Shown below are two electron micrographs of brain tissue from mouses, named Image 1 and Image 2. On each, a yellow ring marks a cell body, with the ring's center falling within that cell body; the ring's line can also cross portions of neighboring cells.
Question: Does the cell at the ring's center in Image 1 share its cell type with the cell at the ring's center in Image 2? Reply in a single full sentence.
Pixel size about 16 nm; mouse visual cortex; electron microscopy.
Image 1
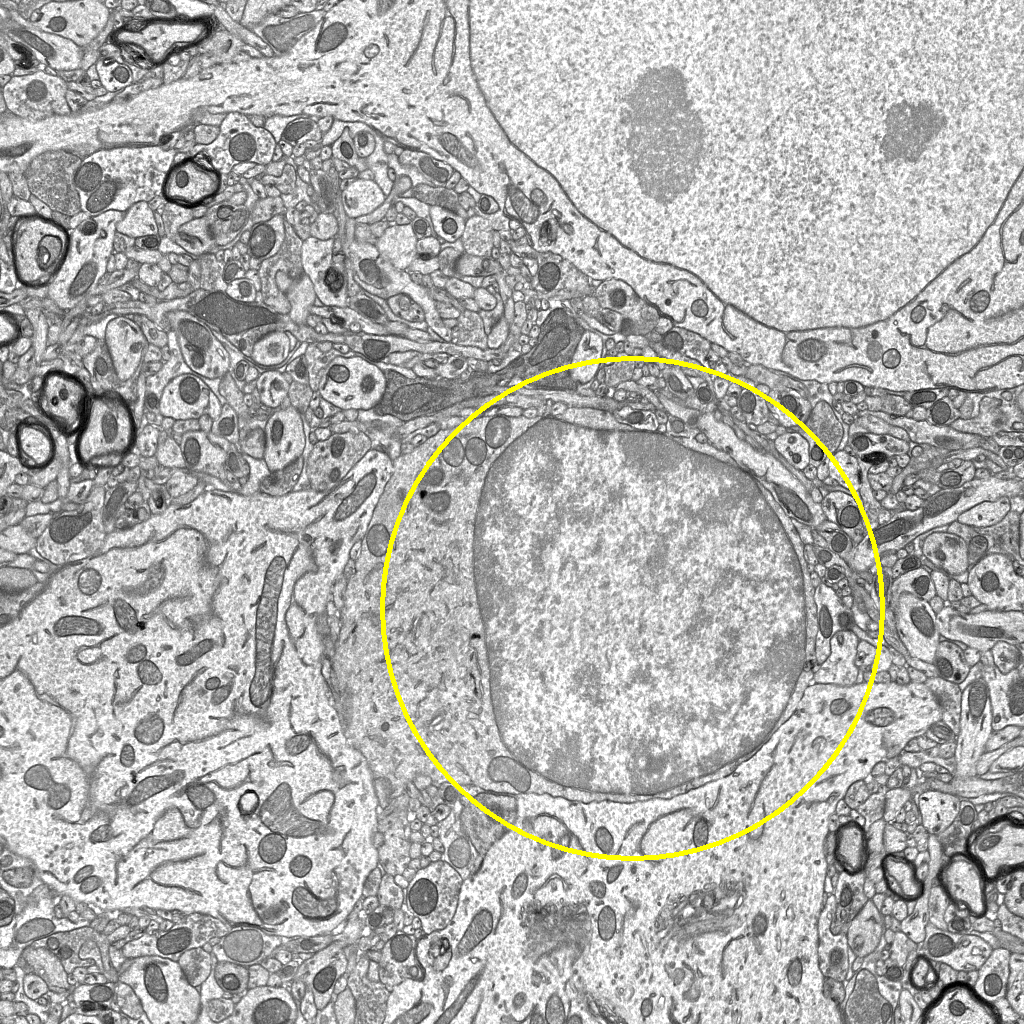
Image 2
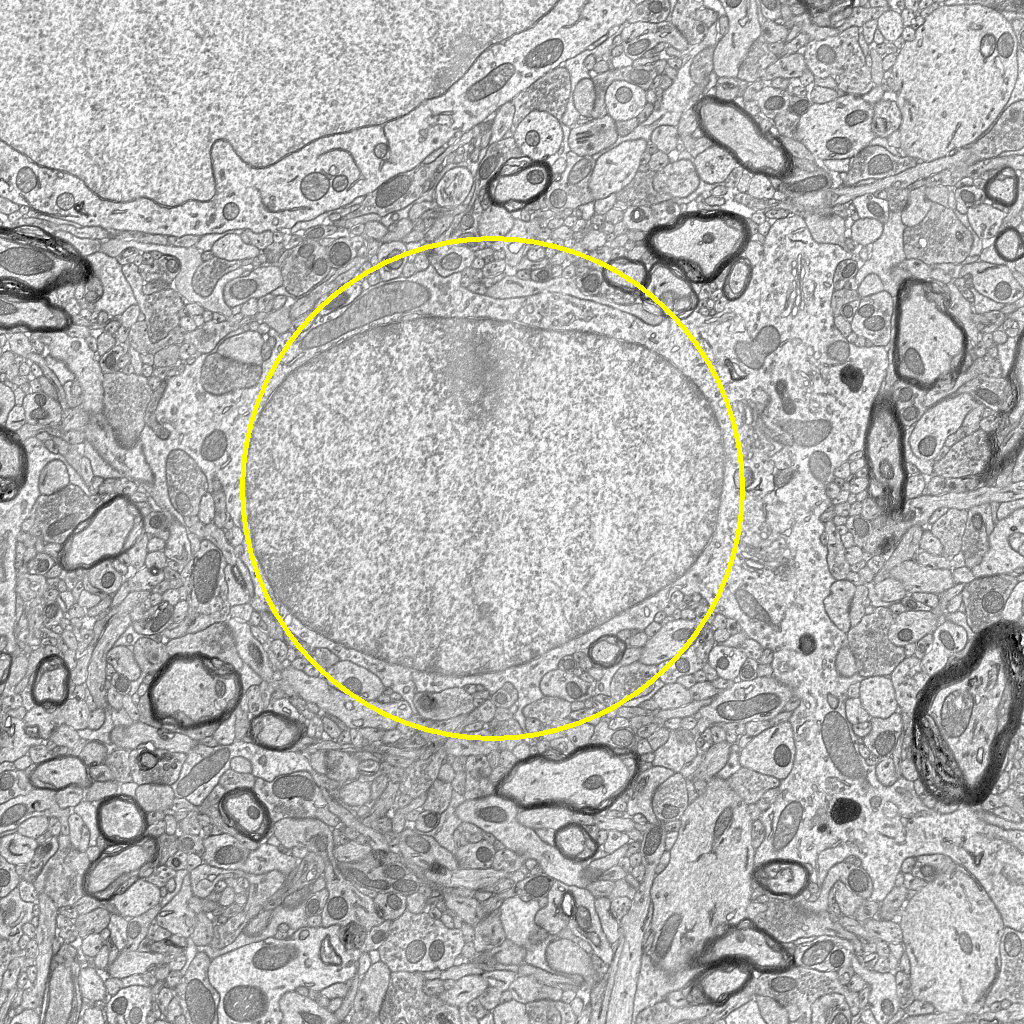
No, the two cells at the ring centers, in Image 1 and Image 2, are of two cell types.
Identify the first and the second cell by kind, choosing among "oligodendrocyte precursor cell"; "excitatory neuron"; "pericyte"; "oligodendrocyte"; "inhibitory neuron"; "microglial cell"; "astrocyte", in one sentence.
In the first picture we have an oligodendrocyte, and in the second, an astrocyte.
